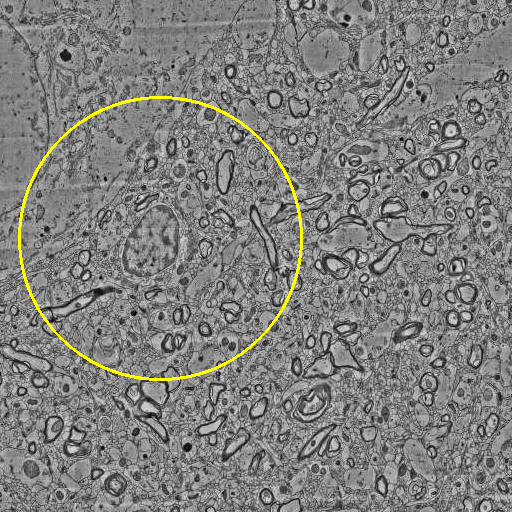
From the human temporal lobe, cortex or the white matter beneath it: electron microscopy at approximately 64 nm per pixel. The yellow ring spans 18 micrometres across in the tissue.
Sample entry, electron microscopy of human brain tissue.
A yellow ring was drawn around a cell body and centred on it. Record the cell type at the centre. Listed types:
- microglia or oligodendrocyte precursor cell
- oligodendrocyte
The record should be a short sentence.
The cell at the ring's centre is a microglial cell or oligodendrocyte precursor cell.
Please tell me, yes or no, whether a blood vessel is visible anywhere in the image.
No, none is visible.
